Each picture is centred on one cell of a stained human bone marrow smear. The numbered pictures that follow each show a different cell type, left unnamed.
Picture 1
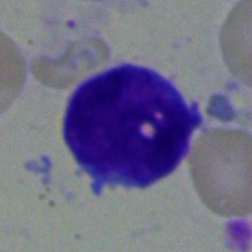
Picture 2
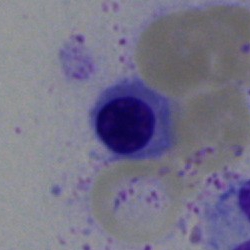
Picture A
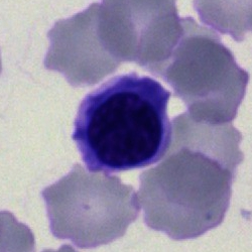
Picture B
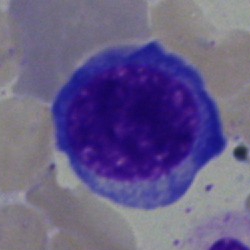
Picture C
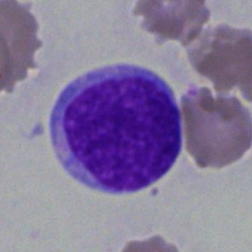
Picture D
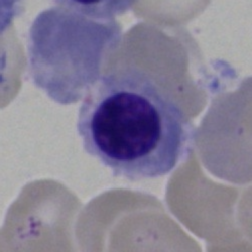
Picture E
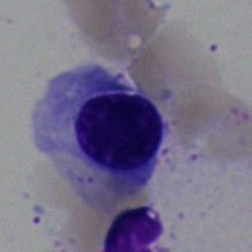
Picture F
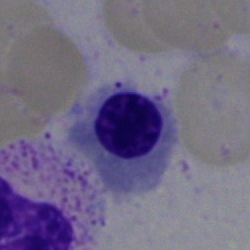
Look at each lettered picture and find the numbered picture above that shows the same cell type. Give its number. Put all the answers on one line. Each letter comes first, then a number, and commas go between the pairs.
A 2, B 2, C 1, D 2, E 2, F 2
